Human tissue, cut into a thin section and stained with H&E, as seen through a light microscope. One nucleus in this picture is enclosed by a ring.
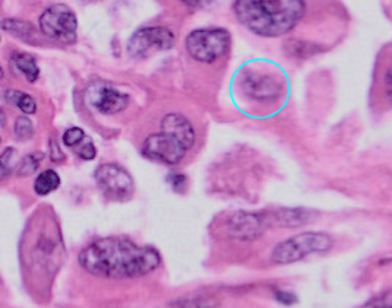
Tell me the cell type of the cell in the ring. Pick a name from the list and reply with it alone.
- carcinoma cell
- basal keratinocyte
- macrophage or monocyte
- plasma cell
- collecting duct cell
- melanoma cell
melanoma cell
